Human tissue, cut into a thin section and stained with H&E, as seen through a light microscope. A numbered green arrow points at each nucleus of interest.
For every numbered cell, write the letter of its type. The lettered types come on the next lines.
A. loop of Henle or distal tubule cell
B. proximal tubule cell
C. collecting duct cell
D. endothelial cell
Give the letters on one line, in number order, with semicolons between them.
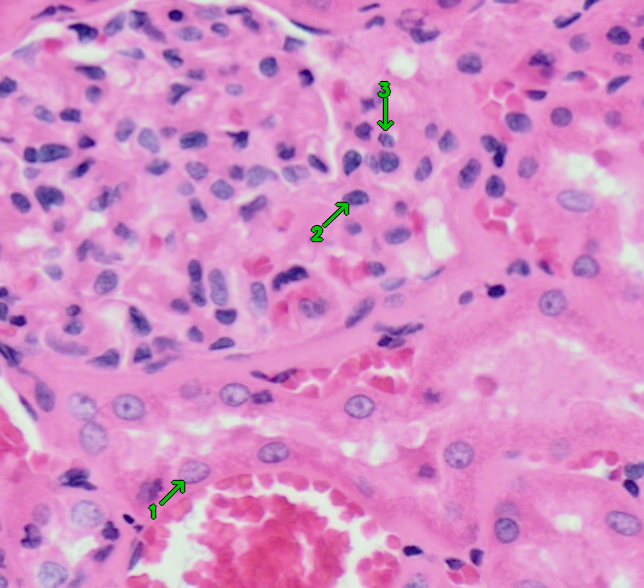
B; D; D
